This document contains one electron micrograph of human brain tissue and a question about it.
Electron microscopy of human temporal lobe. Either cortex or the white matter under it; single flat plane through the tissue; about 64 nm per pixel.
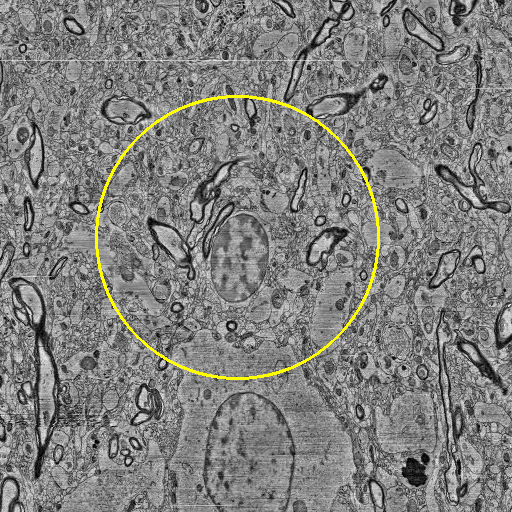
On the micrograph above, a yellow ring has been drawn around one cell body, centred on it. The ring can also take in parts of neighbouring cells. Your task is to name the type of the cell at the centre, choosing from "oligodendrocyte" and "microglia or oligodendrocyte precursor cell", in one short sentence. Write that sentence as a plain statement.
Here the ring is centred on a microglial cell or oligodendrocyte precursor cell.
